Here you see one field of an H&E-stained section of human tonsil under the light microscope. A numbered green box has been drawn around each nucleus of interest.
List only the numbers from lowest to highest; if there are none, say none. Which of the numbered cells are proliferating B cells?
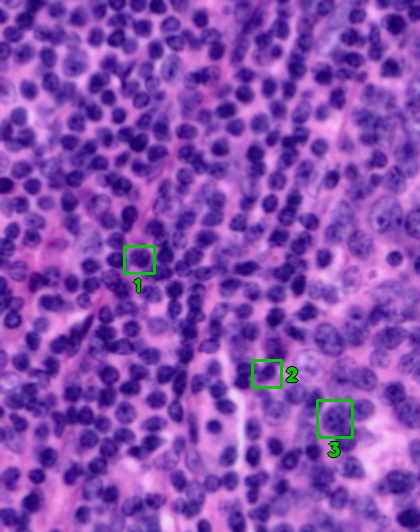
2, 3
